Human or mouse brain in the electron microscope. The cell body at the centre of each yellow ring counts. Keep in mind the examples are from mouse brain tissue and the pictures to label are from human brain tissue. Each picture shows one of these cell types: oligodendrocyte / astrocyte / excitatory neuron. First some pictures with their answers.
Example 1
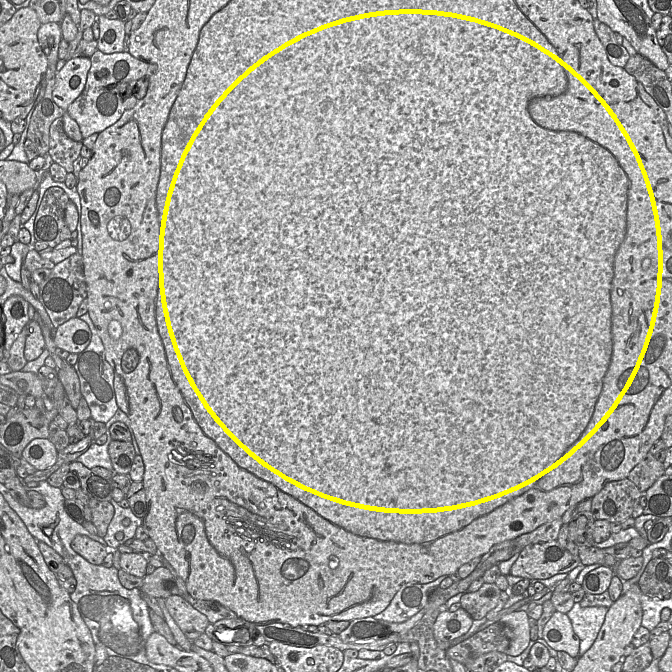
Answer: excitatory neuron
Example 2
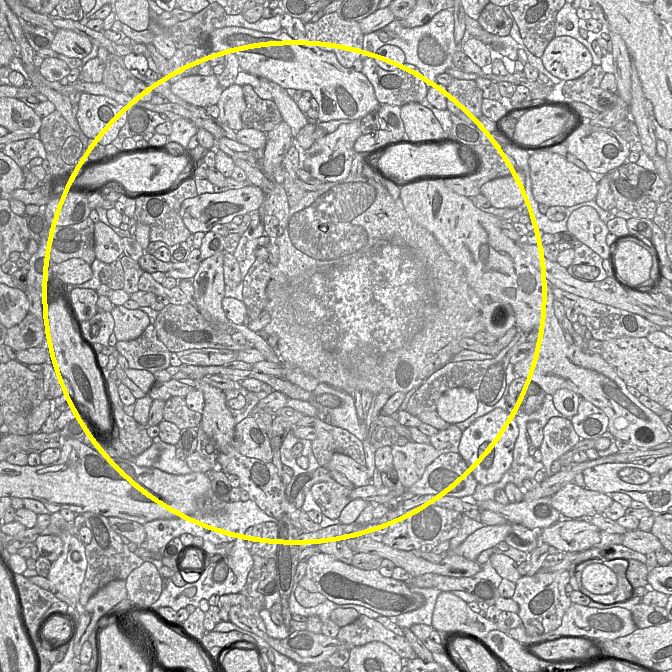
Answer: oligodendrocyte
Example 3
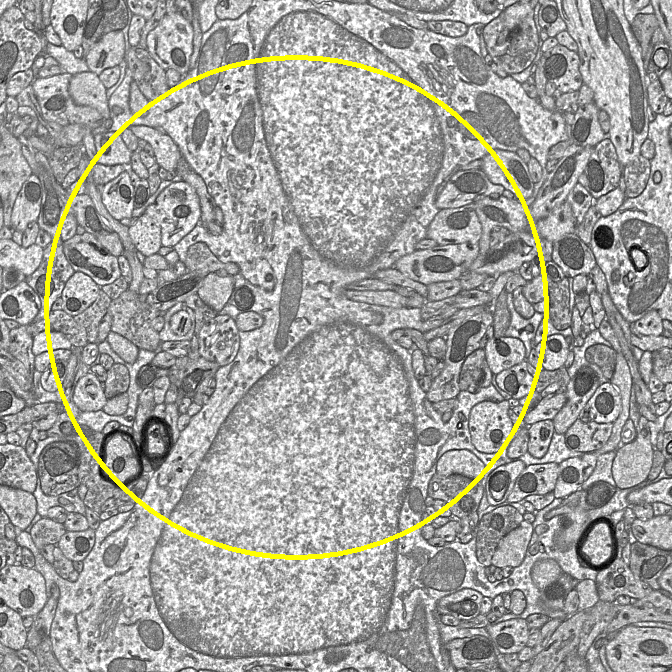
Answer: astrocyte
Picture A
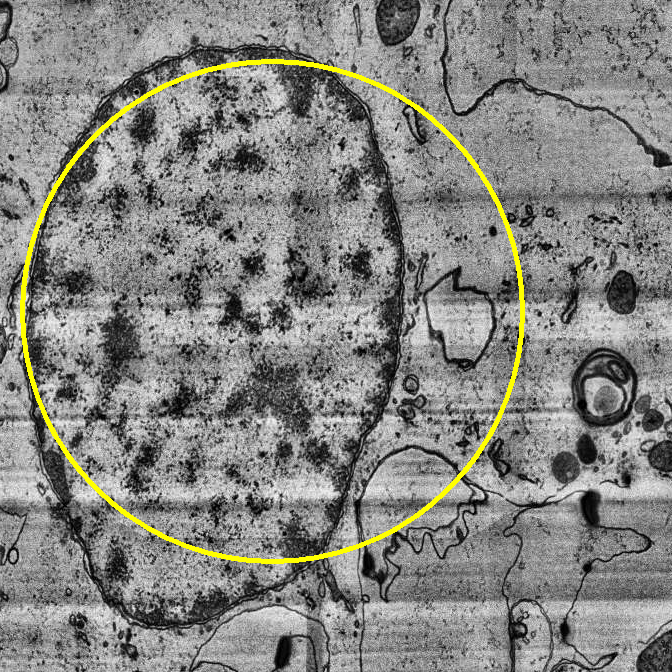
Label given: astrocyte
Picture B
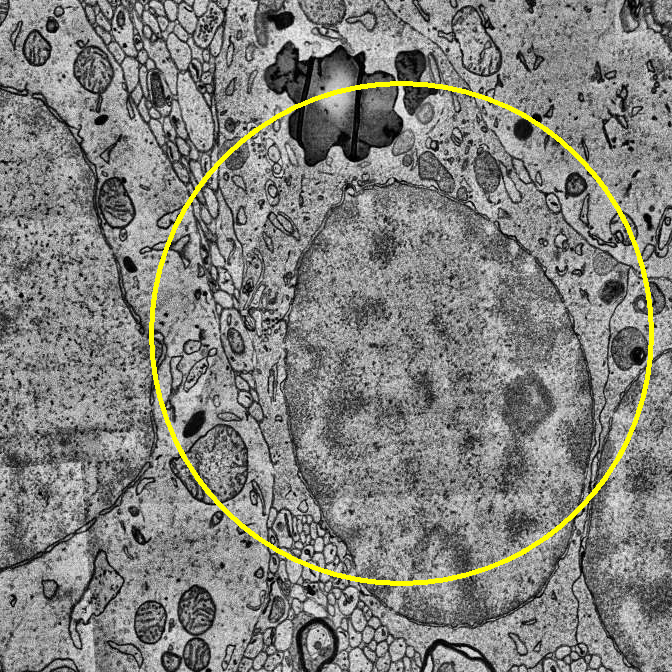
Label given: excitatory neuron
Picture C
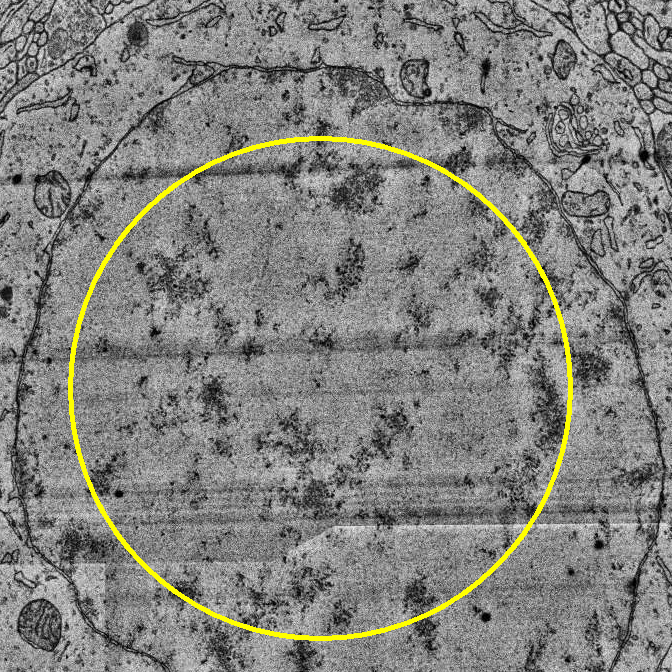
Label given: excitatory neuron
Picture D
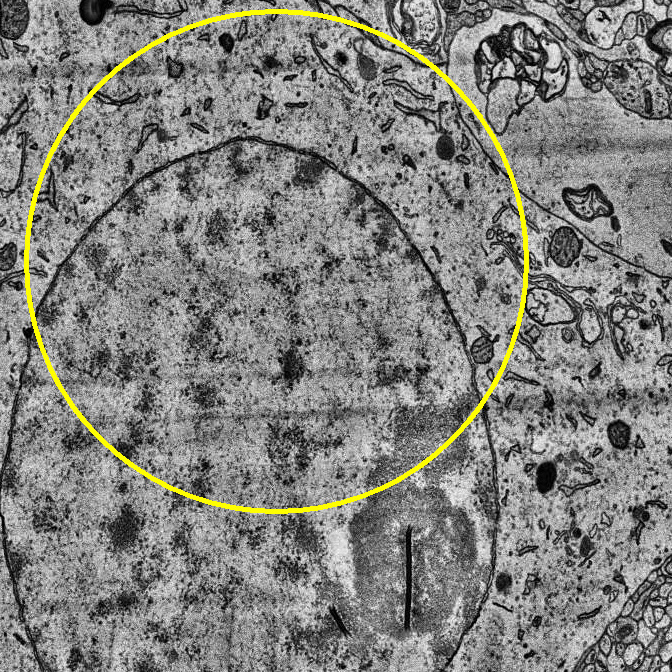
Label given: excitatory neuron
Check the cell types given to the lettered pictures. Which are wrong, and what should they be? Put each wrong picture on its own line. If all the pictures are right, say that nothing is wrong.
B is labelled excitatory neuron; correct label: oligodendrocyte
